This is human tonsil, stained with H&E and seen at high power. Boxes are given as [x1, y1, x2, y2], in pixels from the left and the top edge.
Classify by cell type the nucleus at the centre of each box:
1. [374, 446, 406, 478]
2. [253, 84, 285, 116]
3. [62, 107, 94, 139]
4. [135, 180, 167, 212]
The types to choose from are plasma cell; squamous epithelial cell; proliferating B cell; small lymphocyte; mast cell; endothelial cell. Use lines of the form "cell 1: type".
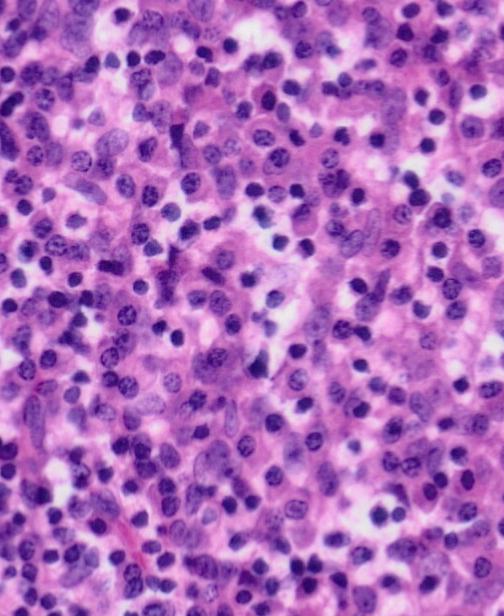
cell 1: plasma cell
cell 2: plasma cell
cell 3: squamous epithelial cell
cell 4: plasma cell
